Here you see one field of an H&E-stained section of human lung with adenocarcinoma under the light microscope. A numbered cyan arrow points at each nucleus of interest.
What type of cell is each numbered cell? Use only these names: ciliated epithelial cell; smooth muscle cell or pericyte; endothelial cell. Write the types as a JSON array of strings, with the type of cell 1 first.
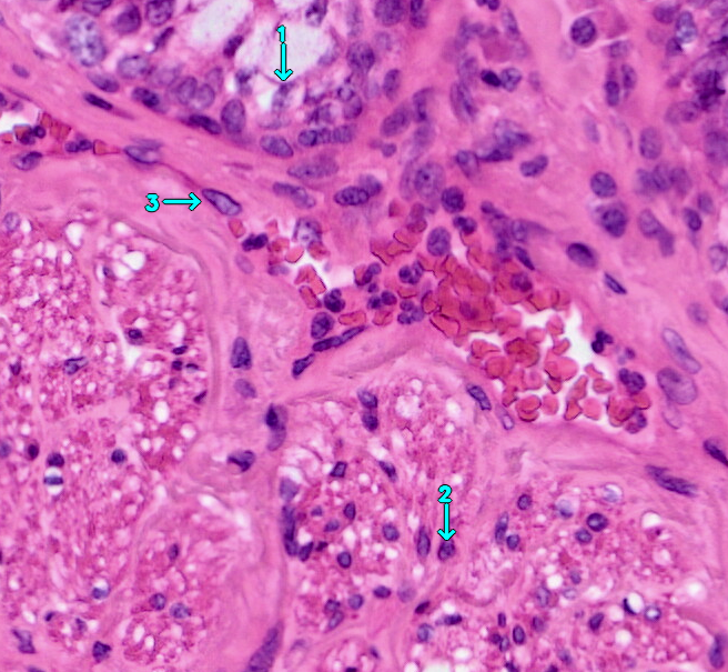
["ciliated epithelial cell", "smooth muscle cell or pericyte", "endothelial cell"]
